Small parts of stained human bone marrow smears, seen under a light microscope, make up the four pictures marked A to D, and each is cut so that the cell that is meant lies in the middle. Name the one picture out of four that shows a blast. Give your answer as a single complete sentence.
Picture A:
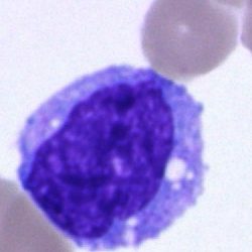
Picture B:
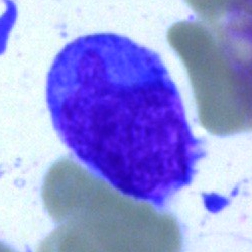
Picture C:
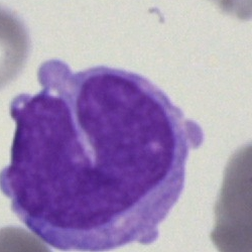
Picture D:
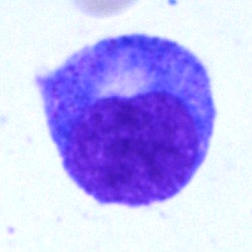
The cell in picture B is the blast.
